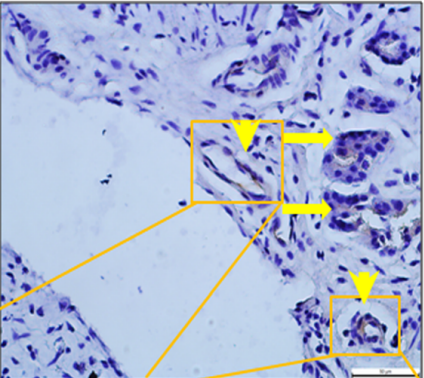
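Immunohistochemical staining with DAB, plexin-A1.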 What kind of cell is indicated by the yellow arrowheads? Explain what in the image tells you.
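The arrowheads point to flattened, elongated cells lining small vessel-like channels. Brown stain lies along these lining cells.
Hence: vascular endothelial cells.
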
